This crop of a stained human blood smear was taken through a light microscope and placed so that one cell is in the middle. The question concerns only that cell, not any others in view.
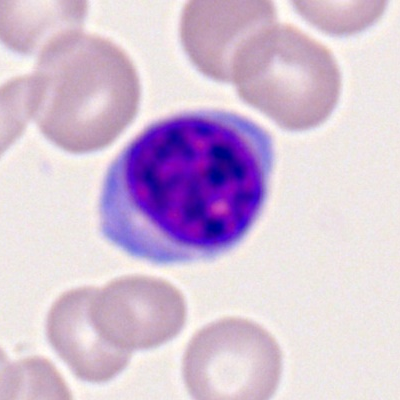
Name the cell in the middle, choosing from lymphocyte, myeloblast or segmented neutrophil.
lymphocyte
